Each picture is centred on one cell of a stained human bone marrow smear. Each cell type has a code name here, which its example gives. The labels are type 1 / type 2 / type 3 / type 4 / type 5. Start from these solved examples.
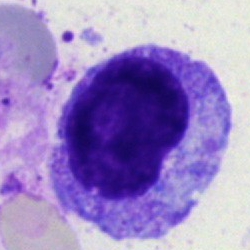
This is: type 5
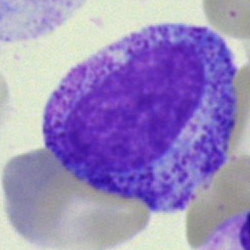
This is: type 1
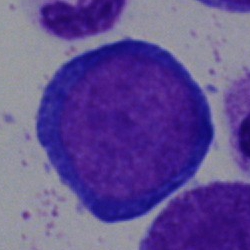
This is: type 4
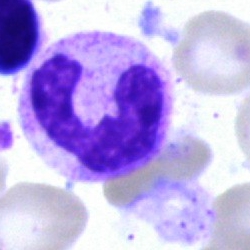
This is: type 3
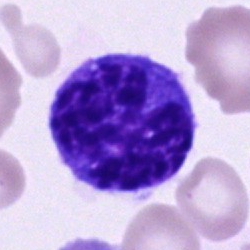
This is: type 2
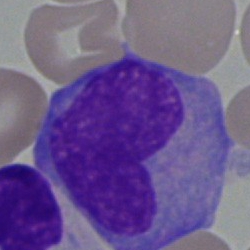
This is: type 2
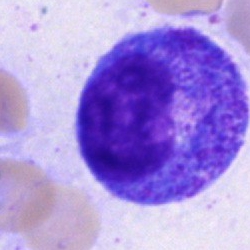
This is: type 1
